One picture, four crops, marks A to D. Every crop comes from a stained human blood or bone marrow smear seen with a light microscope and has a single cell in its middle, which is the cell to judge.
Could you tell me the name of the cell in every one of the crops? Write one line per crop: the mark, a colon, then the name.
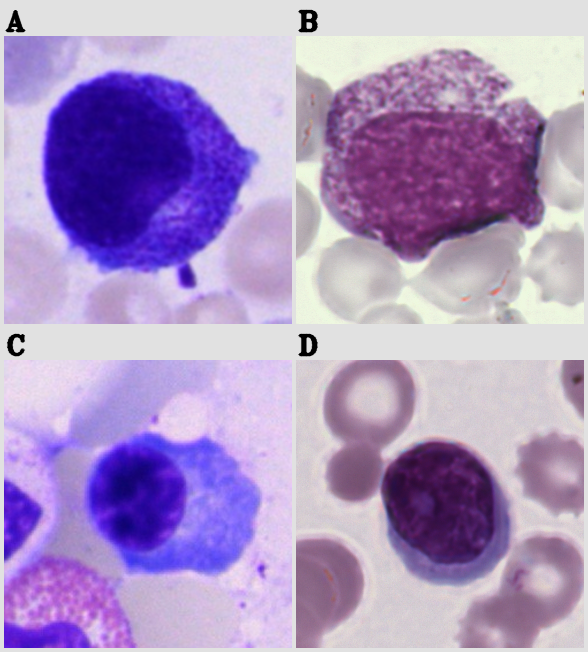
A: promyelocyte
B: promyelocyte
C: plasma cell
D: plasma cell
